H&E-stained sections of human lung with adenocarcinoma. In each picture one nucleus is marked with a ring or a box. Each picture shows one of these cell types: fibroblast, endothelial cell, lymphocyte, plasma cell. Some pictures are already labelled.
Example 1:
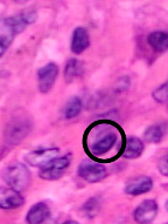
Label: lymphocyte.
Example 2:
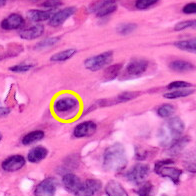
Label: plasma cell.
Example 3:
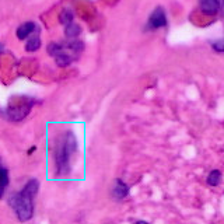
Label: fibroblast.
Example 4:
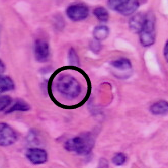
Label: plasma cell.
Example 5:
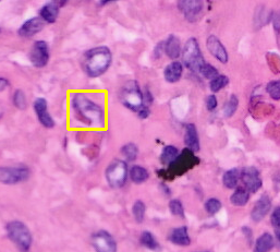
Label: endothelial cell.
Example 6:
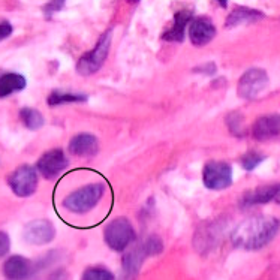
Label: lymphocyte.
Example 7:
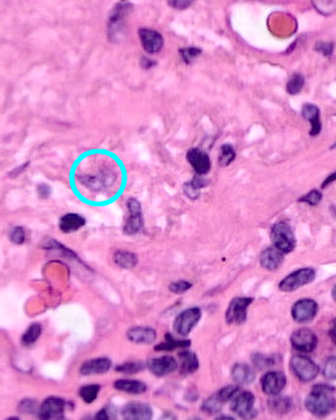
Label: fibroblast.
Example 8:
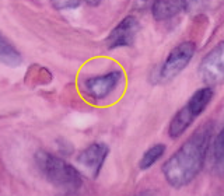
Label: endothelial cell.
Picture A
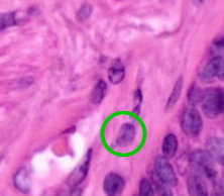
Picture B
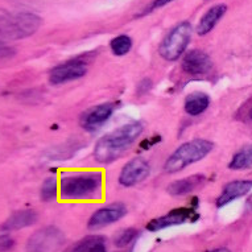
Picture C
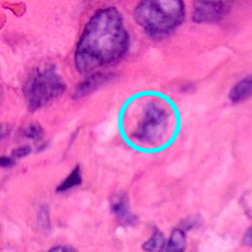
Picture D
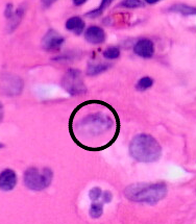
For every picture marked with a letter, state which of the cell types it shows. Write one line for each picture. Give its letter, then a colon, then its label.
A: fibroblast.
B: plasma cell.
C: fibroblast.
D: endothelial cell.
